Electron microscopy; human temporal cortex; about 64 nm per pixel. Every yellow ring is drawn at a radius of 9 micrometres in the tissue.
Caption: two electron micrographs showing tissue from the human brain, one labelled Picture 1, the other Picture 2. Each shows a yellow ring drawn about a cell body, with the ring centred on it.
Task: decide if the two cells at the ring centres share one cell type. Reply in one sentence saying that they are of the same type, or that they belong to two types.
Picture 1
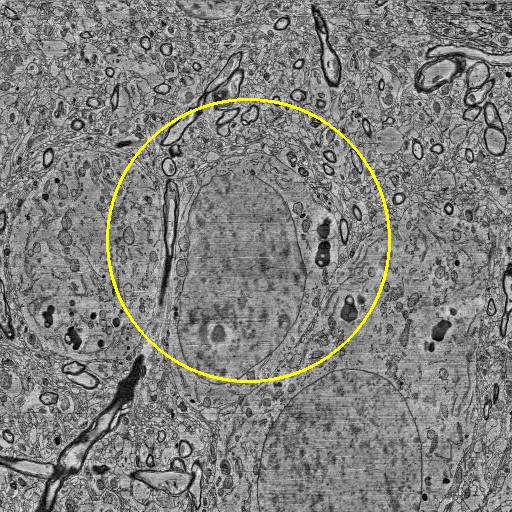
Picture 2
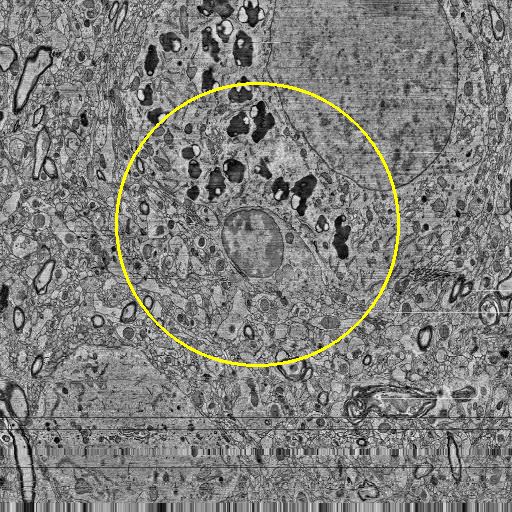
The cells at the ring centres in Picture 1 and Picture 2 belong to two types.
